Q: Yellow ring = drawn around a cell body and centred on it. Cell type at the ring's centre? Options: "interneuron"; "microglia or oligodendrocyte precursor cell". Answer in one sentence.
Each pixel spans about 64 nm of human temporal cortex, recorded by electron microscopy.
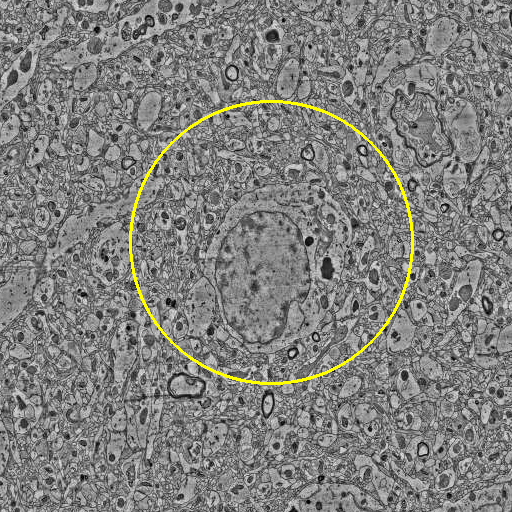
Centred in the ring is an interneuron.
